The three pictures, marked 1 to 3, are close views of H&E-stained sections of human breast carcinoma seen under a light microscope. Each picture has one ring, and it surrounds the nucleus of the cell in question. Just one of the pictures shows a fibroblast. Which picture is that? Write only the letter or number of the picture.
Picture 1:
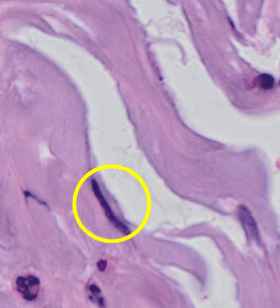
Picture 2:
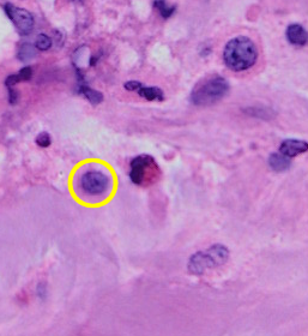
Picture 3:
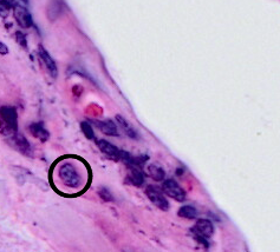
1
